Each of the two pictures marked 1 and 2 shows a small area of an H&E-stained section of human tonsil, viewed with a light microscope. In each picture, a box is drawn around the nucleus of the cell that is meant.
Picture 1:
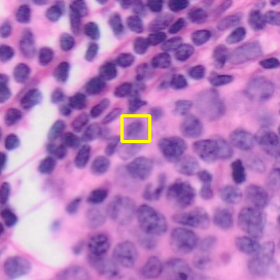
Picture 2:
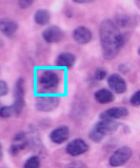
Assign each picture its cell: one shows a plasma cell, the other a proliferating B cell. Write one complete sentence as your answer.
It is picture 1 that shows a proliferating B cell, and picture 2 that shows a plasma cell.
